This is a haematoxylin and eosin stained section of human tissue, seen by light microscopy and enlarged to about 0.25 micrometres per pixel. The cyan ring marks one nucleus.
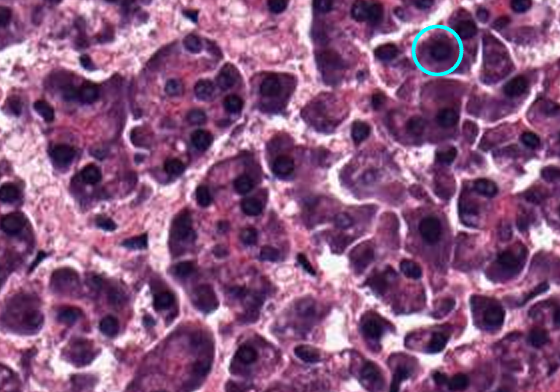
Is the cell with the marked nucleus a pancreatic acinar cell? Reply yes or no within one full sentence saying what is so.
Yes, the marked nucleus belongs to a pancreatic acinar cell.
